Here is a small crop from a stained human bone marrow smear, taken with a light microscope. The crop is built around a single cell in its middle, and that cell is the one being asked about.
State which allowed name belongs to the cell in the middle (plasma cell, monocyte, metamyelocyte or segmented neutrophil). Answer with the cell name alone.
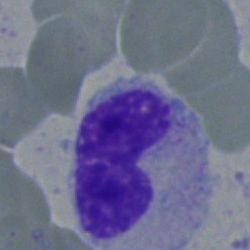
metamyelocyte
